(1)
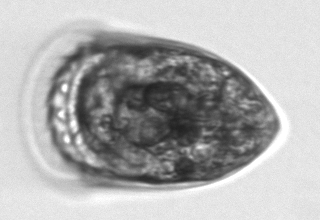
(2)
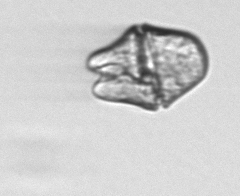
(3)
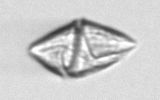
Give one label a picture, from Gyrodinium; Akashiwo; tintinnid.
Picture 1: tintinnid
Picture 2: Akashiwo
Picture 3: Gyrodinium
